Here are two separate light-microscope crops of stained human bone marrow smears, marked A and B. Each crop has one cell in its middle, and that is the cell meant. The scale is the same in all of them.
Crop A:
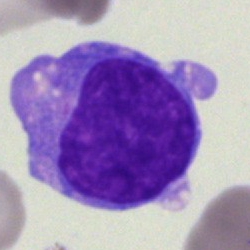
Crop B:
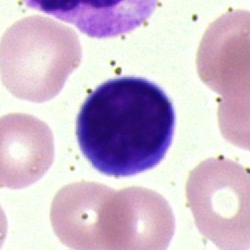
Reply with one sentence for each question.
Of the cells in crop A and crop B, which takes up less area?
Crop B holds the smaller cell, since the cell in crop A covers about 3 times as much area.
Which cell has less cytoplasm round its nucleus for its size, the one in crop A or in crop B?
It is the cell in crop B that is filled more by its nucleus.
